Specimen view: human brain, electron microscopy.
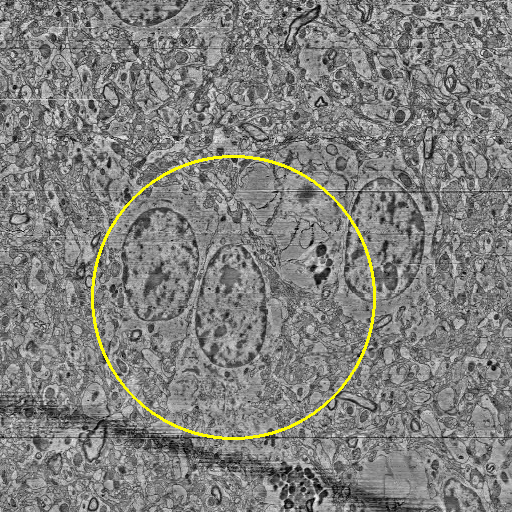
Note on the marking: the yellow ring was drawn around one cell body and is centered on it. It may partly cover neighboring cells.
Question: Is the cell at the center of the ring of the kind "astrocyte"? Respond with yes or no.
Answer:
yes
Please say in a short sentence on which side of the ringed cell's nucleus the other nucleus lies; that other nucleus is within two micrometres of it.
The other nucleus is found to the upper left of it.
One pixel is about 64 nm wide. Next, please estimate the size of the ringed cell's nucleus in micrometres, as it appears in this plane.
In this plane, about 7 by 5 micrometres: the nucleus is clearly longer than it is wide.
